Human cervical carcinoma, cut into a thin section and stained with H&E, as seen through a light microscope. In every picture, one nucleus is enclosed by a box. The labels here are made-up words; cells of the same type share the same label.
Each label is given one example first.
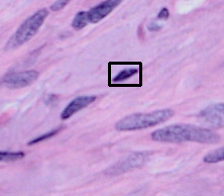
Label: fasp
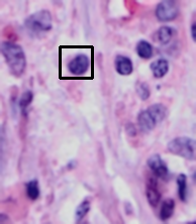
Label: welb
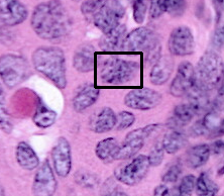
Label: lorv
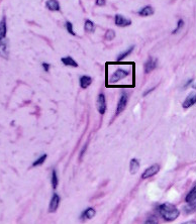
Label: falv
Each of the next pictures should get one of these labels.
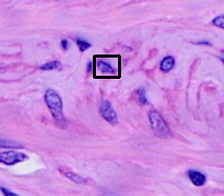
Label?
falv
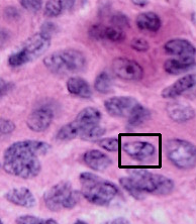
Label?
lorv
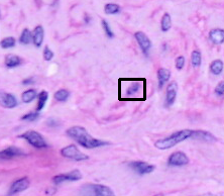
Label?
falv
